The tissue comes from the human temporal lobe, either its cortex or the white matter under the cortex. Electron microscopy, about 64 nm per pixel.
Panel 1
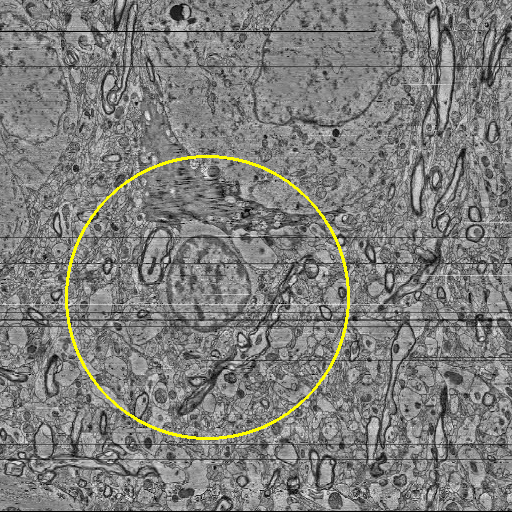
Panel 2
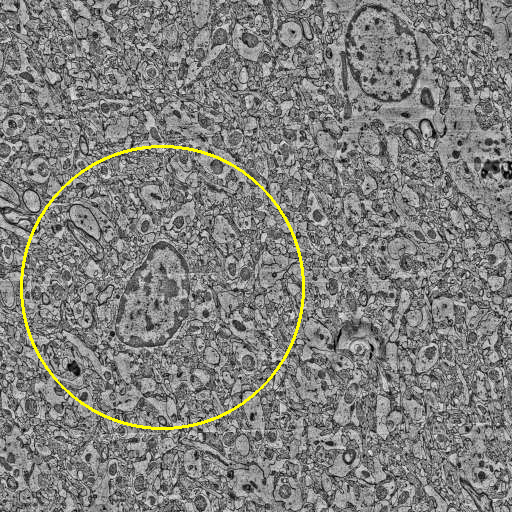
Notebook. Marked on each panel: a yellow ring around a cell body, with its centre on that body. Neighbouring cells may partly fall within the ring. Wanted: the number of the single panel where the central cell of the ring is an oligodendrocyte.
1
